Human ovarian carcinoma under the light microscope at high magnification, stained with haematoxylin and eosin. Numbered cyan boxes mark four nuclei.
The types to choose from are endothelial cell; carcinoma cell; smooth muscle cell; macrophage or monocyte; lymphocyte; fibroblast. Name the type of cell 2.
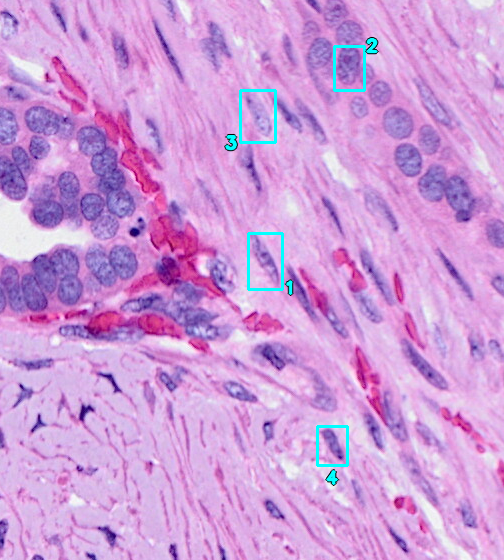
carcinoma cell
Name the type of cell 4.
fibroblast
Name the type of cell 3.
fibroblast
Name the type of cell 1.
fibroblast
